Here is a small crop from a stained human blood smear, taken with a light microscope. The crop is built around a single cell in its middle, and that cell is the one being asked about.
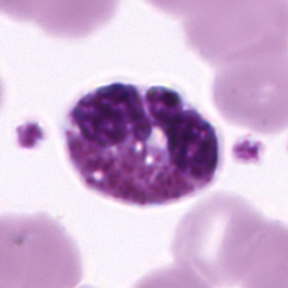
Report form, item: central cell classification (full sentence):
Of the cells in this crop, the central one is an eosinophil.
